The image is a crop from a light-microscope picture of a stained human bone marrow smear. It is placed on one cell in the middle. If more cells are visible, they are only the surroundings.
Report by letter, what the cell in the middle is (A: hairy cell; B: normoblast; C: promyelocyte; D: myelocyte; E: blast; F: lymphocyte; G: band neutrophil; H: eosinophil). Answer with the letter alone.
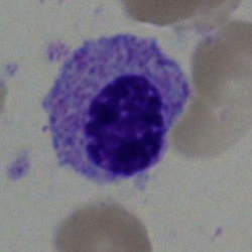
D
